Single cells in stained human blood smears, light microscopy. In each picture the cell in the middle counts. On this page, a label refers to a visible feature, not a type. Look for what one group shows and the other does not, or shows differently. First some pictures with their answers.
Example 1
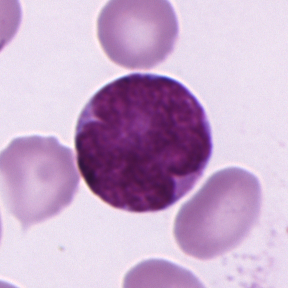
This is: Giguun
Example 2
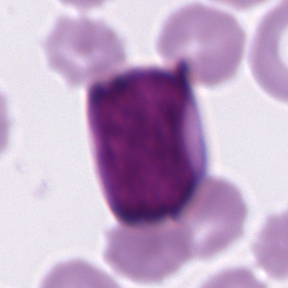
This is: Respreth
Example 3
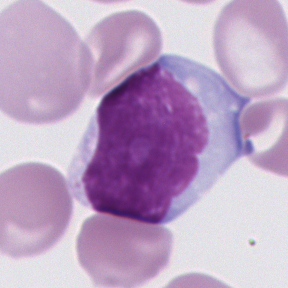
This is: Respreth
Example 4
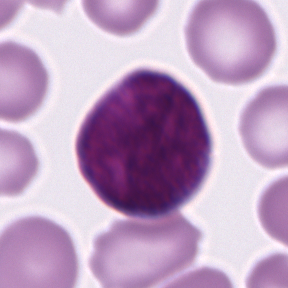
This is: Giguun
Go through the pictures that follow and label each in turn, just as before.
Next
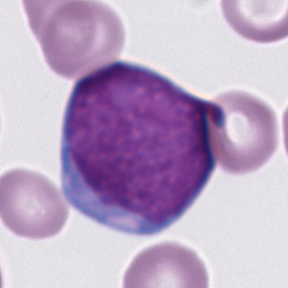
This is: Respreth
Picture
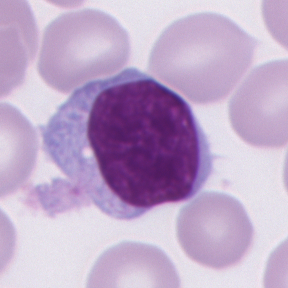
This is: Respreth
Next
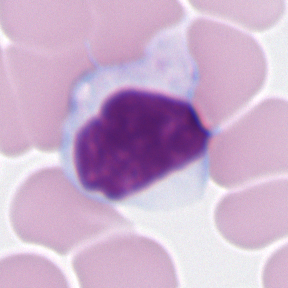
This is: Respreth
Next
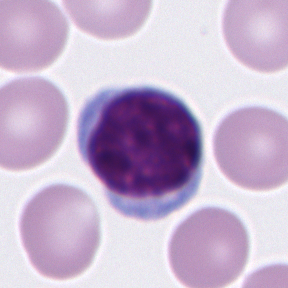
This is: Giguun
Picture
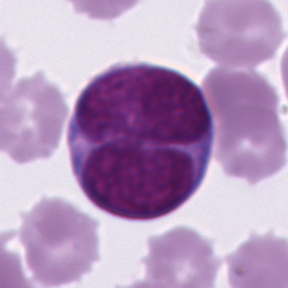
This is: Giguun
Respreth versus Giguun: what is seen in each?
Respreth: ragged outline or projections; Giguun: smooth outline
